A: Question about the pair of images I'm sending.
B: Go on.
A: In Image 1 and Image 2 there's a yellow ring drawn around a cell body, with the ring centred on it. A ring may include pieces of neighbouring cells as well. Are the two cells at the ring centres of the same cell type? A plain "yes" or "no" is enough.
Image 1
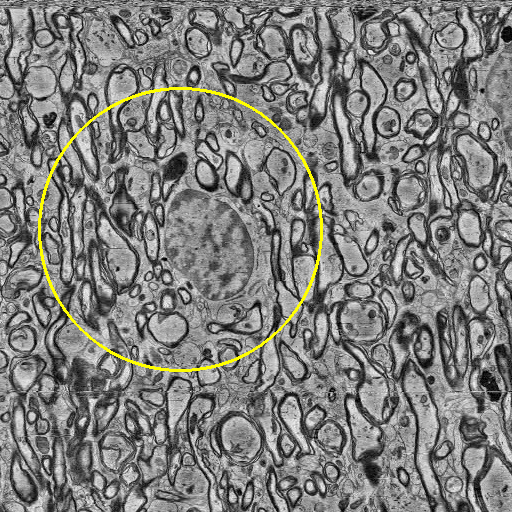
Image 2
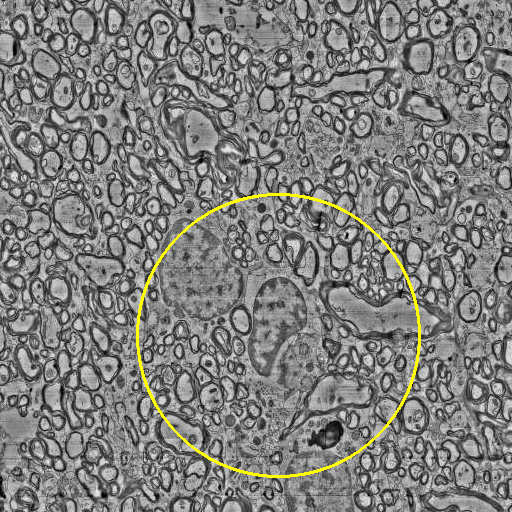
yes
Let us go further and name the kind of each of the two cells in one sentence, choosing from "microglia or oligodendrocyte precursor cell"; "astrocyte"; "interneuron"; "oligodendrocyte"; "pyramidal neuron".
Both the first and the second picture show a microglial cell or oligodendrocyte precursor cell in the ring.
